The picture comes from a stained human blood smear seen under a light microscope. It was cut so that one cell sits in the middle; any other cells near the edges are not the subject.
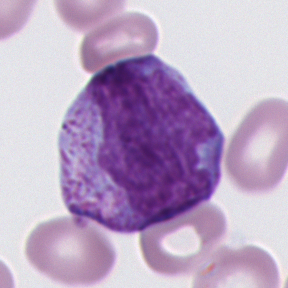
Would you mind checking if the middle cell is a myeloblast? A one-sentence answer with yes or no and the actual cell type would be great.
No, the central cell is reported as an atypical promyelocyte rather than as a myeloblast.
